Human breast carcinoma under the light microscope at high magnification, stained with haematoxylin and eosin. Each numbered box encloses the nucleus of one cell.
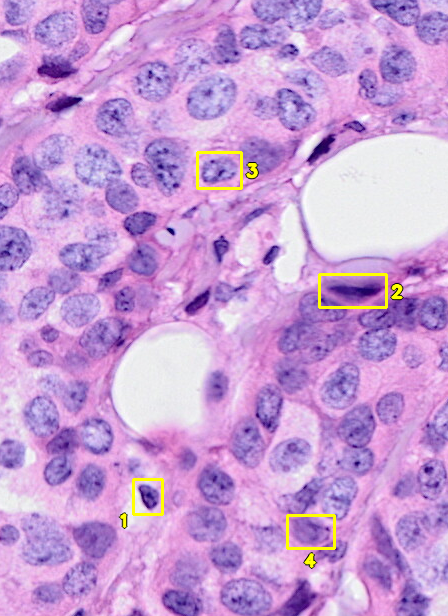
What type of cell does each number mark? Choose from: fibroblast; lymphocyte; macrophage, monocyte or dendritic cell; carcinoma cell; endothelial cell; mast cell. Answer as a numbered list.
1. lymphocyte
2. carcinoma cell
3. carcinoma cell
4. carcinoma cell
